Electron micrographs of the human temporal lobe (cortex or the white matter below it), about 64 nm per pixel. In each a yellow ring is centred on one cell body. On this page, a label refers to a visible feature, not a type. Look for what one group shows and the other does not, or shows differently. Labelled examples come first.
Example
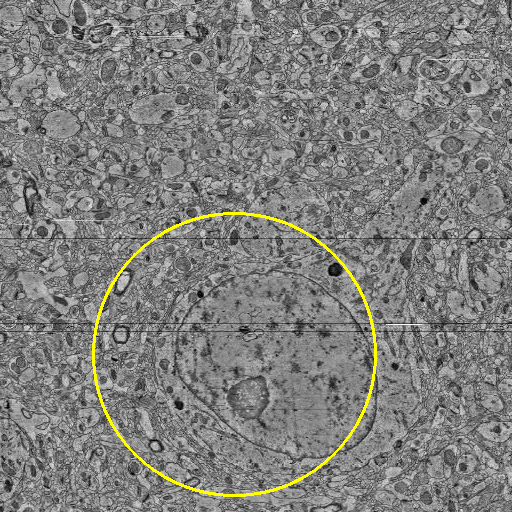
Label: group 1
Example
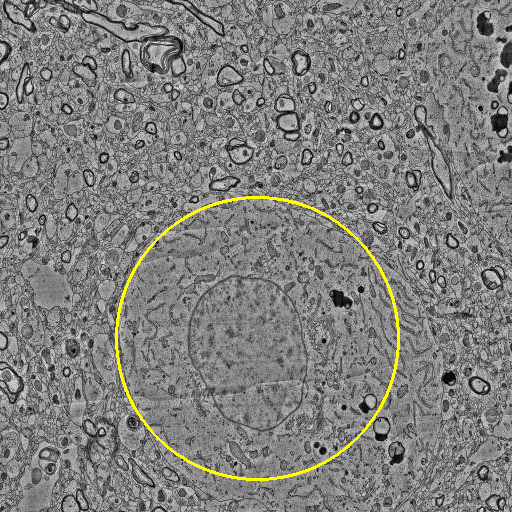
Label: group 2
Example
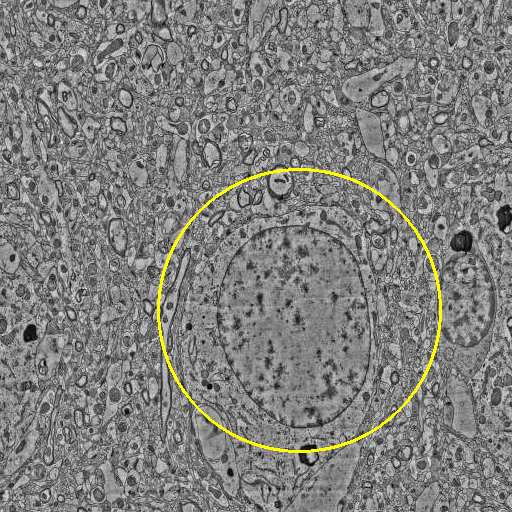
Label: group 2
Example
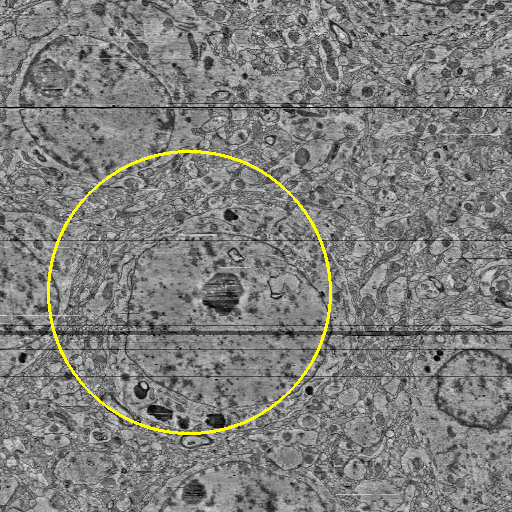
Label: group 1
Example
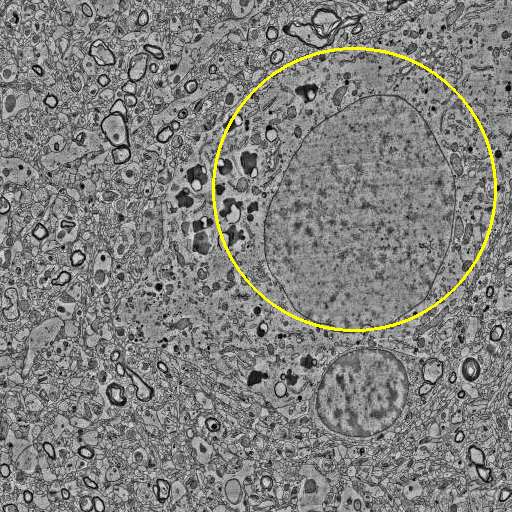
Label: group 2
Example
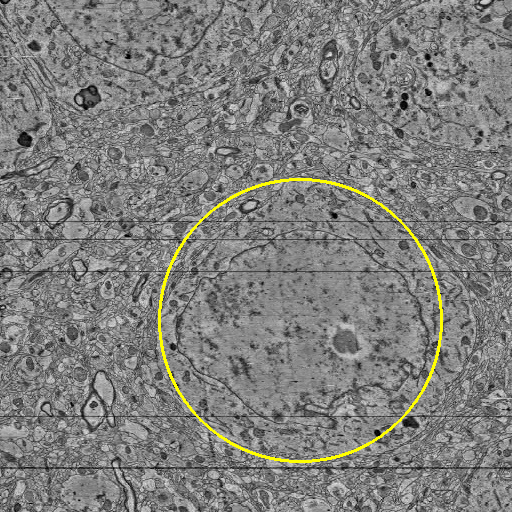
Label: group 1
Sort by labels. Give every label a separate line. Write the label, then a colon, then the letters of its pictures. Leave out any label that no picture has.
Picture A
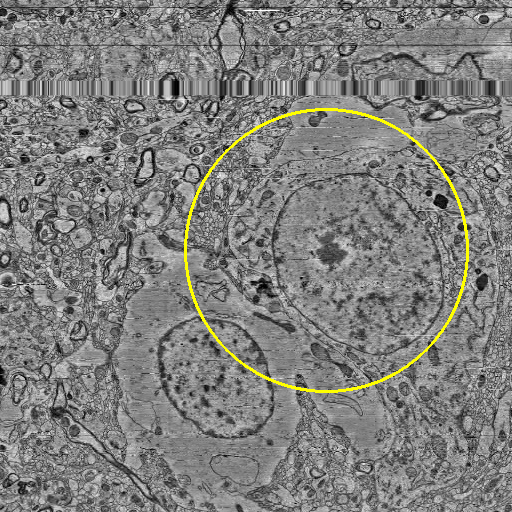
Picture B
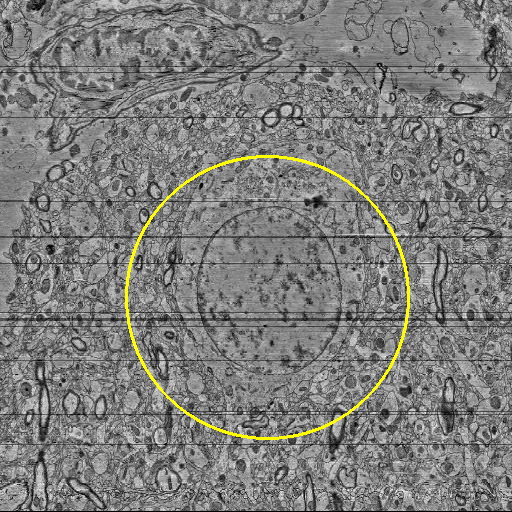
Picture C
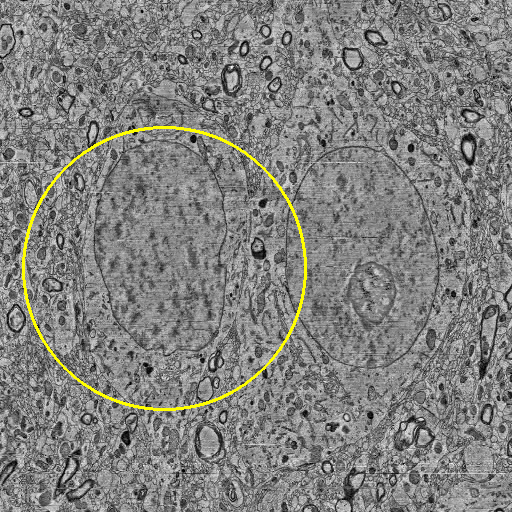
group 1: A
group 2: B, C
